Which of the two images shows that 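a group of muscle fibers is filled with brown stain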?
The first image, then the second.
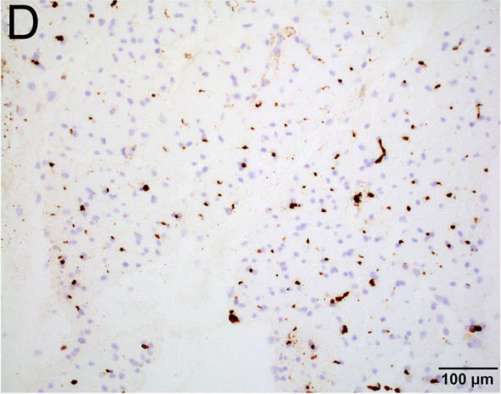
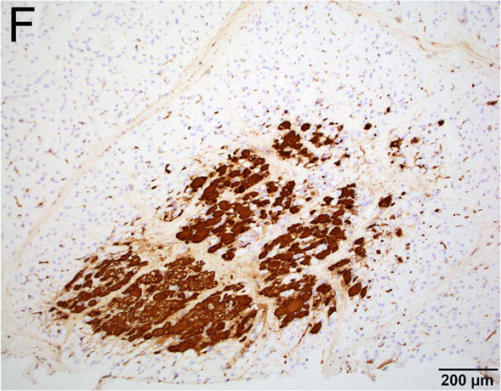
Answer: The second image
